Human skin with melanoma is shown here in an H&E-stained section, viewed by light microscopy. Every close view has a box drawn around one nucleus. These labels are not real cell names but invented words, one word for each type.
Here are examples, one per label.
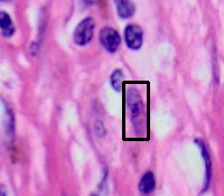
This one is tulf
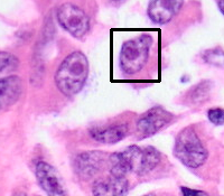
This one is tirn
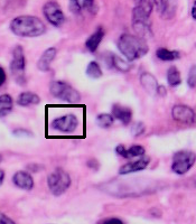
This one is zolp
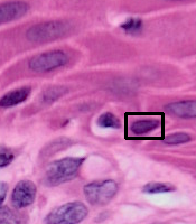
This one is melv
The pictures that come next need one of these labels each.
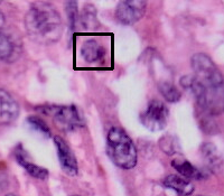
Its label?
tirn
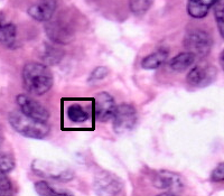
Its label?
zolp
